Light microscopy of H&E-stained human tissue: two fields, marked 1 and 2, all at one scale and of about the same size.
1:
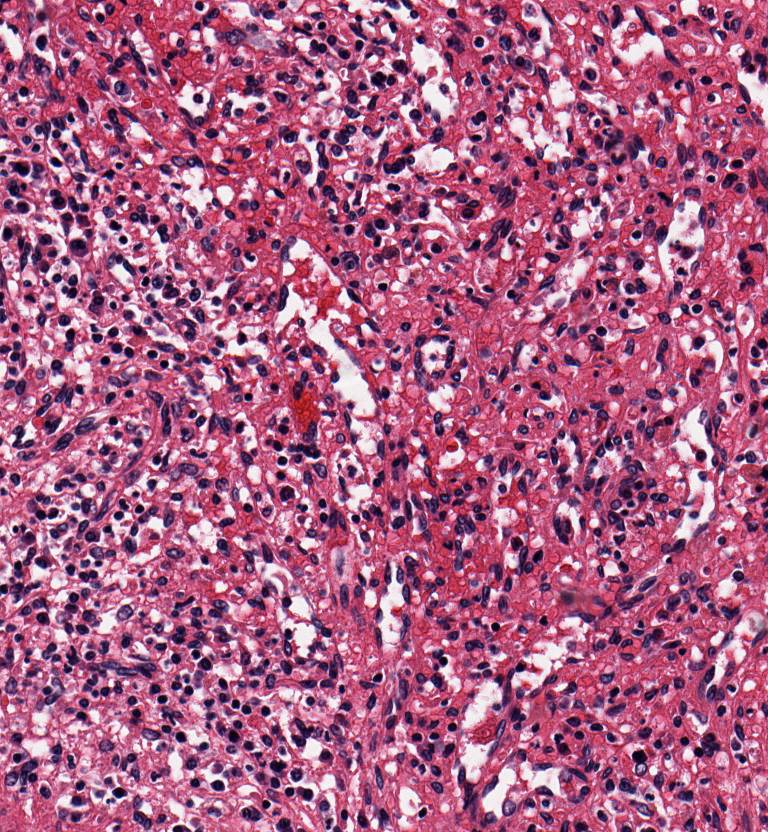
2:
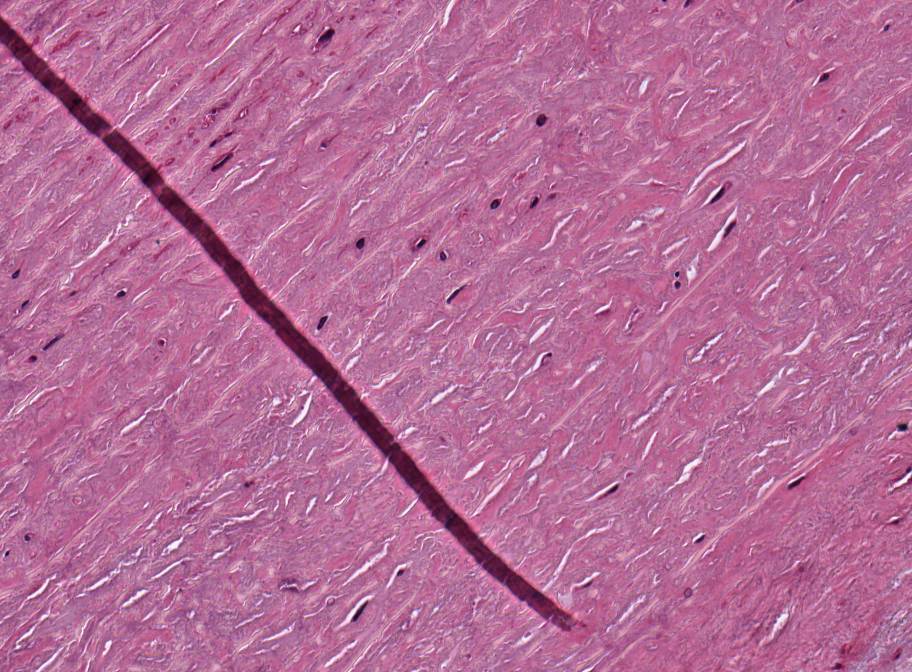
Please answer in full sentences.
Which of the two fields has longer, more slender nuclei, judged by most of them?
The nuclei are more elongated in field 2.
